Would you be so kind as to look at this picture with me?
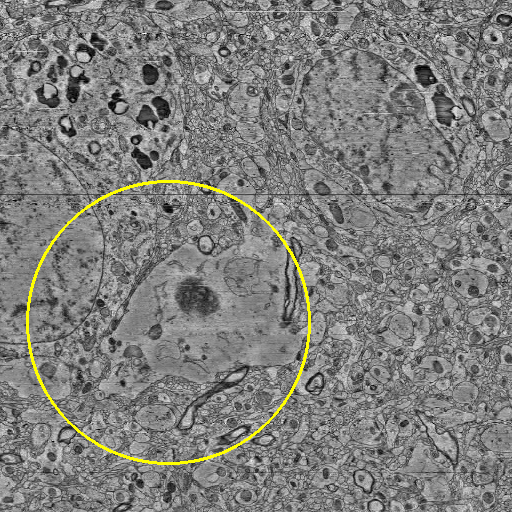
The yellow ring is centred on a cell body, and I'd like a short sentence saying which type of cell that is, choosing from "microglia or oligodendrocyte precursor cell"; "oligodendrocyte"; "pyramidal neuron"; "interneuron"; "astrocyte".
The cell body in the ring belongs to an astrocyte.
